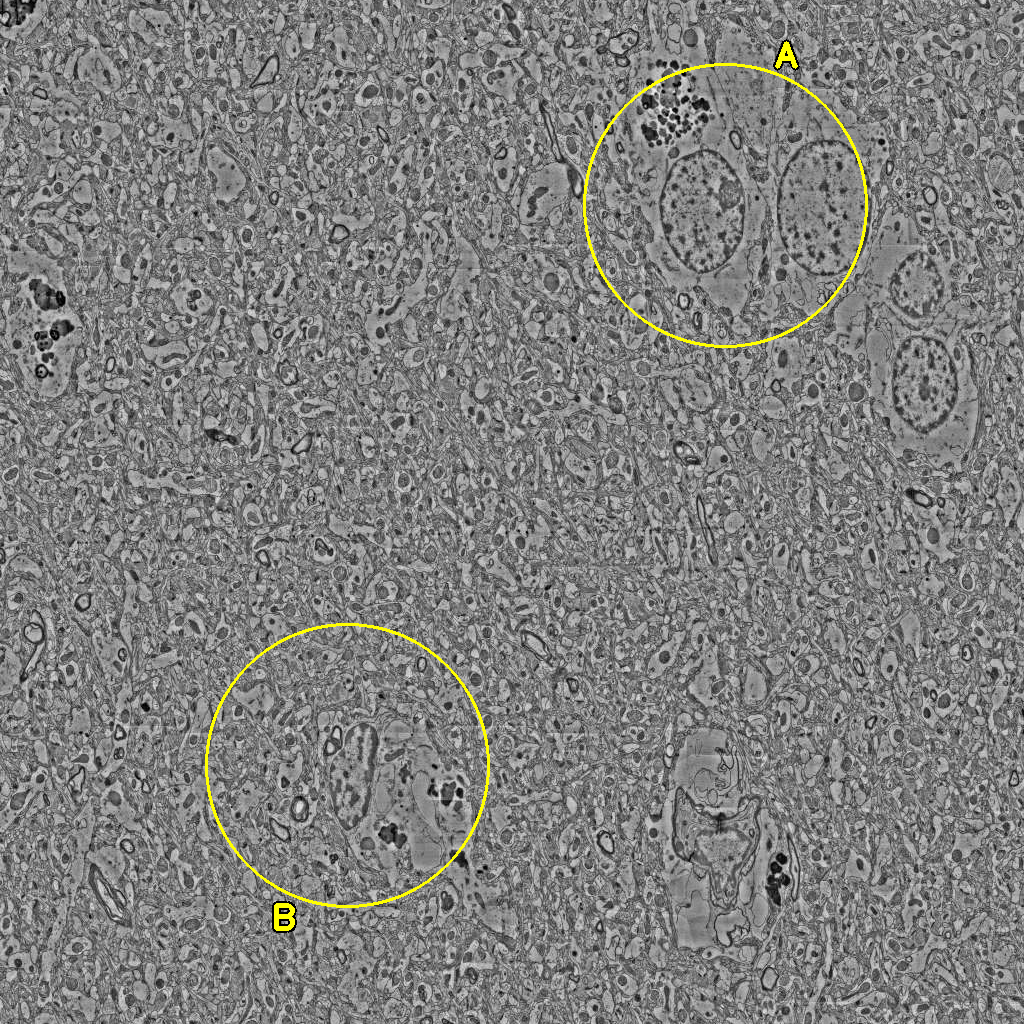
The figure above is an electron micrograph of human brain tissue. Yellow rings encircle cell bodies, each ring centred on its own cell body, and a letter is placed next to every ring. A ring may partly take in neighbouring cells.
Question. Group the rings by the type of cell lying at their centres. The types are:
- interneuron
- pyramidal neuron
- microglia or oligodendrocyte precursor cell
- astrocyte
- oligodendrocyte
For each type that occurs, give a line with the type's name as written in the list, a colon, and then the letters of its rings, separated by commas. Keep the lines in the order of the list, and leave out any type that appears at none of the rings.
microglia or oligodendrocyte precursor cell: B
astrocyte: A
